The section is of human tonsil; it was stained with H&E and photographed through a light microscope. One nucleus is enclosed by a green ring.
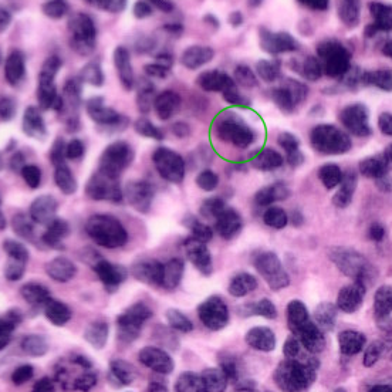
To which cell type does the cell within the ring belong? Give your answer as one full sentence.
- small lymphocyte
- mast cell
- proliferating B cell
In this preparation, the cell within the ring is a proliferating B cell.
